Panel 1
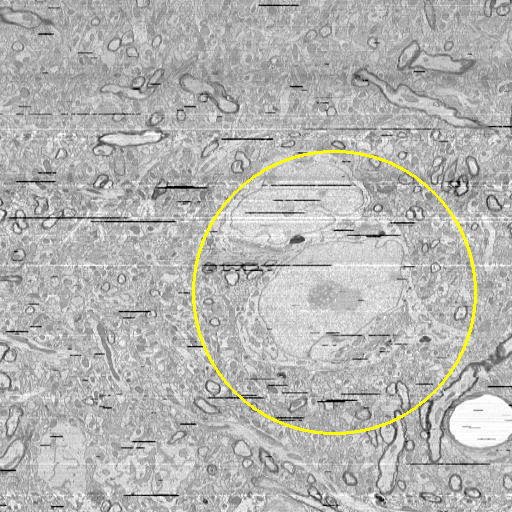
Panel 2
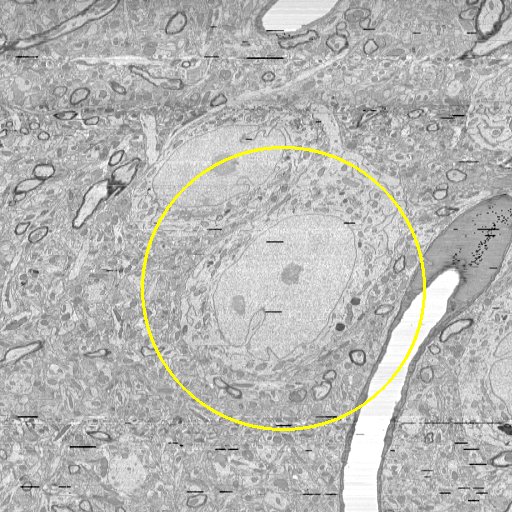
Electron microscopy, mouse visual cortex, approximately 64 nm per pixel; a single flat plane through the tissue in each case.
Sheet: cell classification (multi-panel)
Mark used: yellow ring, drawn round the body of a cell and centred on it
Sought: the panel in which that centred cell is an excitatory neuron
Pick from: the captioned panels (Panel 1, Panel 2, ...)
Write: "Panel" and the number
Panel 2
